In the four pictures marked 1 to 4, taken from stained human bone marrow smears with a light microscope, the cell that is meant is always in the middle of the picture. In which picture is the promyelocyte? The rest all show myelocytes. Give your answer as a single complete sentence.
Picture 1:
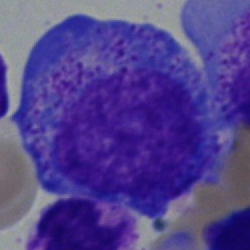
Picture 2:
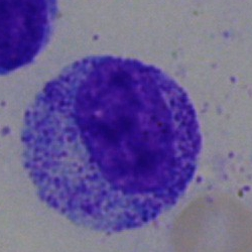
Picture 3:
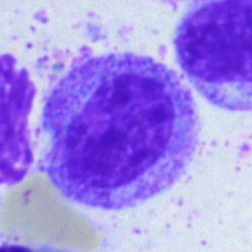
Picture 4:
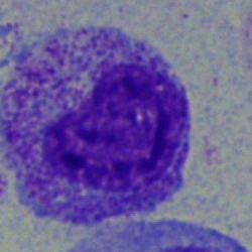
Picture 1 shows the promyelocyte.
